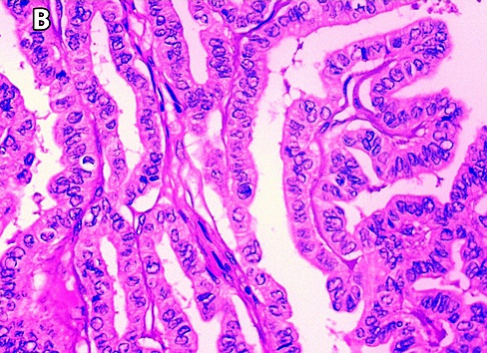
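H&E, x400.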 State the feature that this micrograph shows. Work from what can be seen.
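Elongated projections with a thin pink fibrous core run through the field. Each projection is covered by a layer of columnar epithelial cells. Clear spaces separate neighbouring projections. The answer: papillary architecture.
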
